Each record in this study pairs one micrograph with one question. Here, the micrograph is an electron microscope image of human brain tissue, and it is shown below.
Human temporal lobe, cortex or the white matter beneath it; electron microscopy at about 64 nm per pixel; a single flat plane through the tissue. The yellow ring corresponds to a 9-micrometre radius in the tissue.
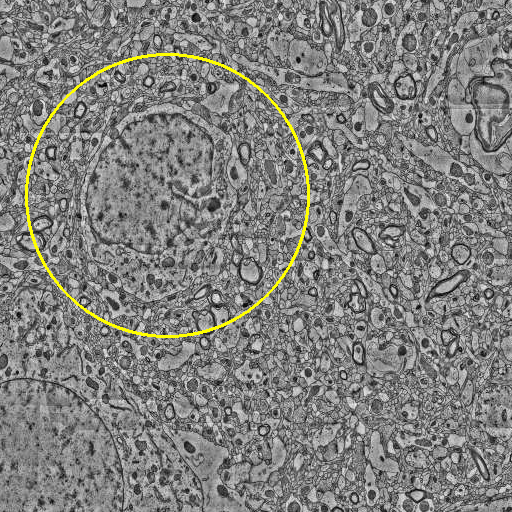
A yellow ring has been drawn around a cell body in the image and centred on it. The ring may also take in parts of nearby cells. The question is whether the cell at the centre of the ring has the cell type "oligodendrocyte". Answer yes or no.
no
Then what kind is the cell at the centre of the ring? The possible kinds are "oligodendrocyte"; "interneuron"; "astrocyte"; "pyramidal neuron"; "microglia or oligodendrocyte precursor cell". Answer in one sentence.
The correct answer is that the cell is an interneuron.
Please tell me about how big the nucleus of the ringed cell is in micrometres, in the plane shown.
The ringed cell's nucleus is about 10 micrometres long and 7 micrometres wide in this plane.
